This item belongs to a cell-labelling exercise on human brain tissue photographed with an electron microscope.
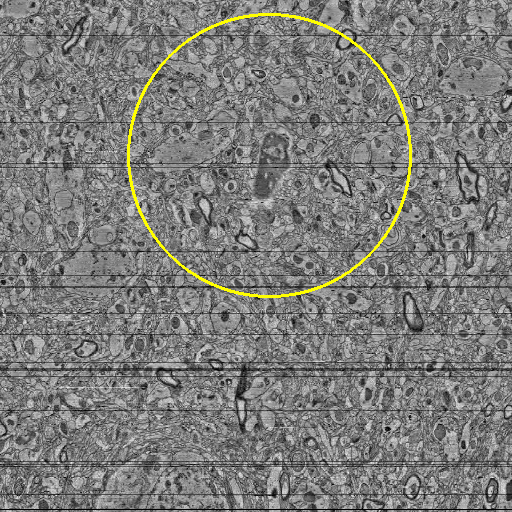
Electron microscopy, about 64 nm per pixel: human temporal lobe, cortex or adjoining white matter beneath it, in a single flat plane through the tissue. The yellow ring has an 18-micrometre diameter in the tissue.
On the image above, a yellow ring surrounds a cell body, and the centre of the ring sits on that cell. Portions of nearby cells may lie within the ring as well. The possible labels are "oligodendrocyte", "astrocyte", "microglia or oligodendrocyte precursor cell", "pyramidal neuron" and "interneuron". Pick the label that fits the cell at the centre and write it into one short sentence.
This cell should be labelled as a microglial cell or oligodendrocyte precursor cell.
